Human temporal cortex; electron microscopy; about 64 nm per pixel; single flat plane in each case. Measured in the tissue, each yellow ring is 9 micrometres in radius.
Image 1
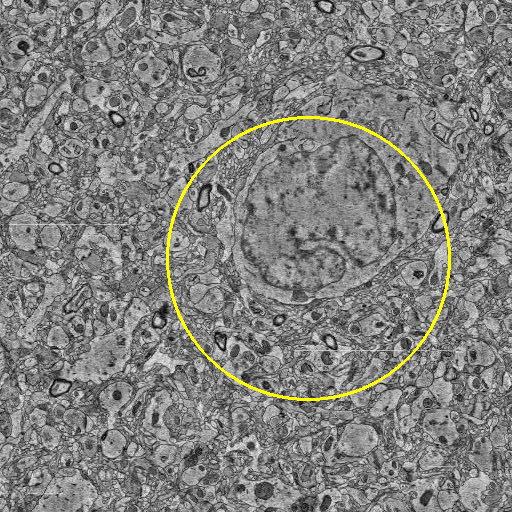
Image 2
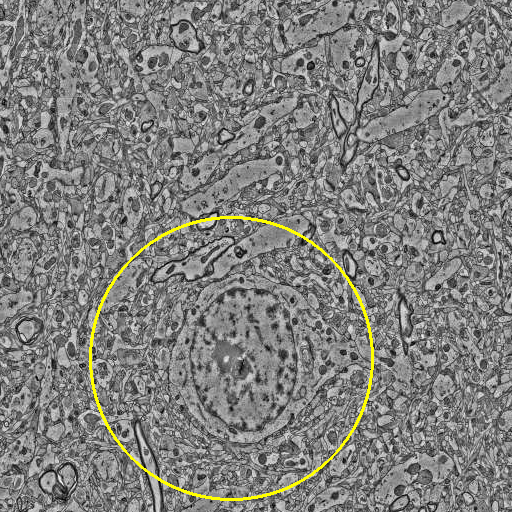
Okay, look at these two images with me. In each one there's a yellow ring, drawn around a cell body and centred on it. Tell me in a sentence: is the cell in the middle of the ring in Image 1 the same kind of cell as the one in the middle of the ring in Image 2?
Yes, they're the same kind of cell.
